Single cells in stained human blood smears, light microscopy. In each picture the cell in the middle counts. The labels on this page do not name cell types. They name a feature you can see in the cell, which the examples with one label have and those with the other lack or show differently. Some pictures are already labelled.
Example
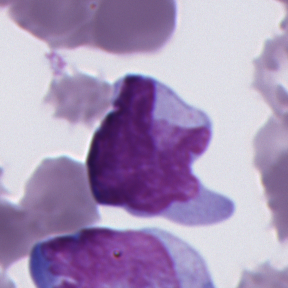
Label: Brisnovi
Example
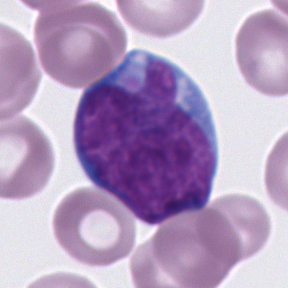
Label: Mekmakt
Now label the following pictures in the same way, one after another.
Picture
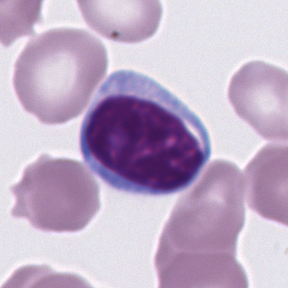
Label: Mekmakt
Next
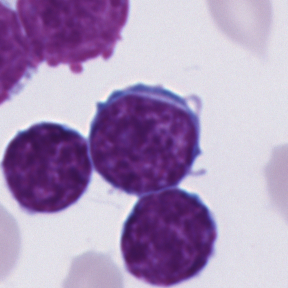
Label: Brisnovi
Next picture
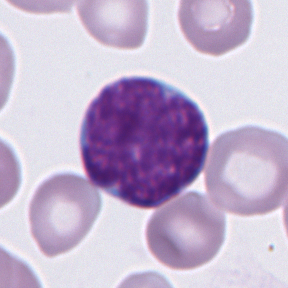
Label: Mekmakt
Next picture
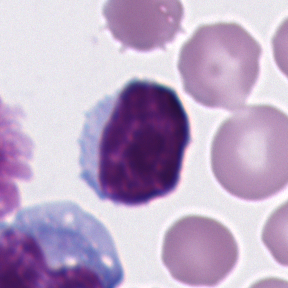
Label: Brisnovi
